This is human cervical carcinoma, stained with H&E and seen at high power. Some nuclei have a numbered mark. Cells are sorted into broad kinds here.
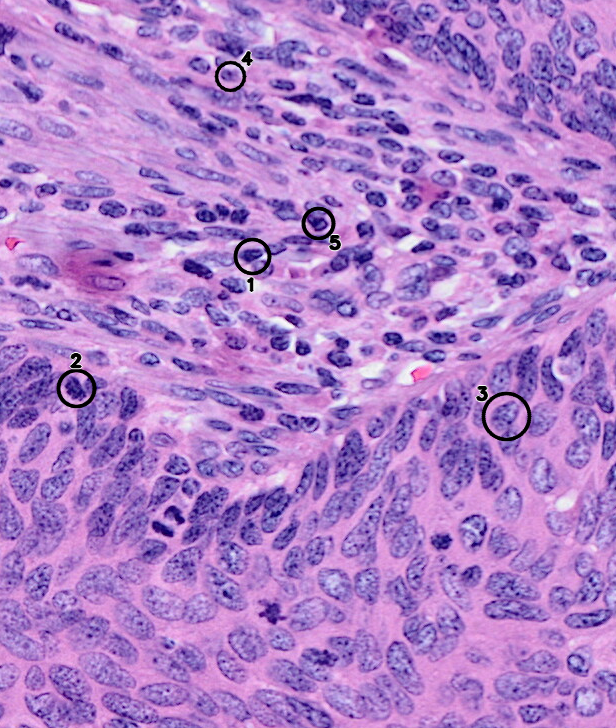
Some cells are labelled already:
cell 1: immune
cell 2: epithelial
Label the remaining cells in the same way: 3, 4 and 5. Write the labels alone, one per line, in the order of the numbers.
epithelial
immune
immune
